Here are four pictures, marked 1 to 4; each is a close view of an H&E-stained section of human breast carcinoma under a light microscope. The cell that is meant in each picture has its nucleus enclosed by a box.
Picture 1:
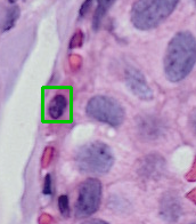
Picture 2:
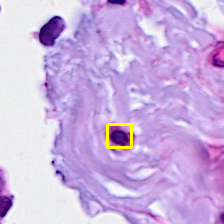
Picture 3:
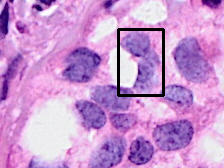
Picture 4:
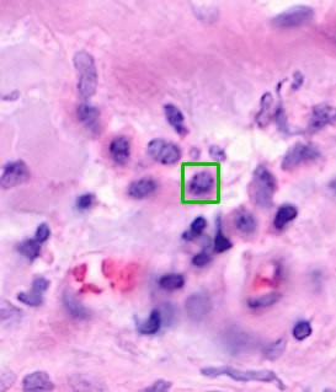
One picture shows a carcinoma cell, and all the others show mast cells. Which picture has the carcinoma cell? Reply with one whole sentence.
The carcinoma cell is the one in picture 3.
